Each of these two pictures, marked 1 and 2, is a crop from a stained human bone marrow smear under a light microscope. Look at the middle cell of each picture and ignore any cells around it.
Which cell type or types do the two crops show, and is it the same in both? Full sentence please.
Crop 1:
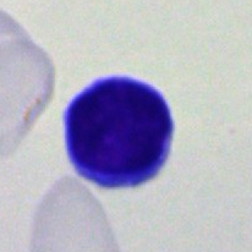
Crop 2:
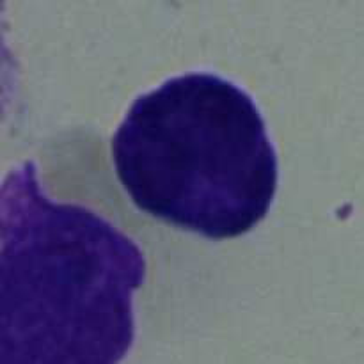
Yes, lymphocytes are centred in both crops.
